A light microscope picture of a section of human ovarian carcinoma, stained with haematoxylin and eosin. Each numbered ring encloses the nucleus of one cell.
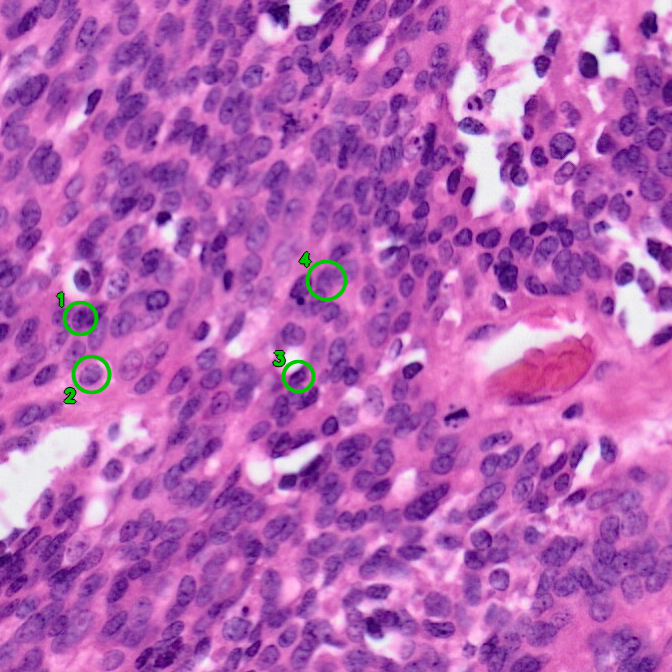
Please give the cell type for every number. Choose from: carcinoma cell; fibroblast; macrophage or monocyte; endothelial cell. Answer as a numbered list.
1. carcinoma cell
2. macrophage or monocyte
3. carcinoma cell
4. carcinoma cell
